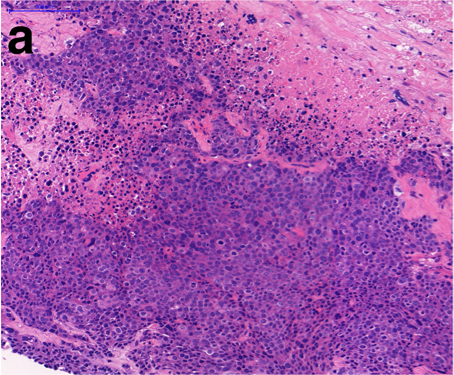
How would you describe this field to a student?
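Solid sheets of highly atypical, pleomorphic tumor cells fill most of the field, with crowded, dark purple nuclei of varying size and shape and scant cytoplasm. Pink collagenous stroma runs along the upper right edge and in thin strands between the cell sheets, and the upper part of the sheet contains scattered small dark fragmented nuclei within pink material.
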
